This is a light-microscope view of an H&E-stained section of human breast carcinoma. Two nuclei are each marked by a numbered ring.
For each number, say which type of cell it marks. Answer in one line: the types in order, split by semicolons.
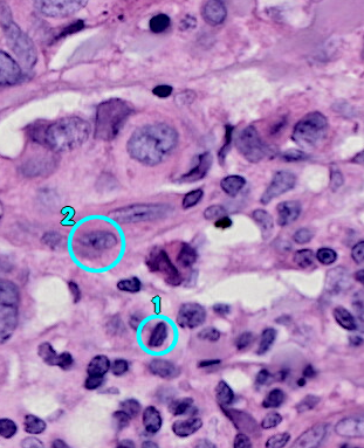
lymphocyte; endothelial cell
